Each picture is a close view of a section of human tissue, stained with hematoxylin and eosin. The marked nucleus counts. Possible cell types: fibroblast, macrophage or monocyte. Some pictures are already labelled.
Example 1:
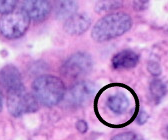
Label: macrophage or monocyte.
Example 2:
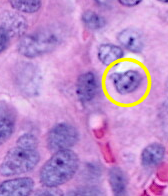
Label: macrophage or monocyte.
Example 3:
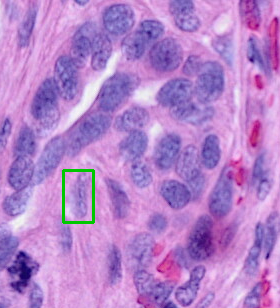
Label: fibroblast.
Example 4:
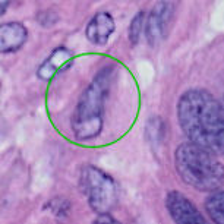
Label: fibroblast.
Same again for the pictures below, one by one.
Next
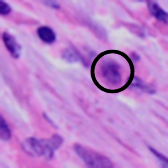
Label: macrophage or monocyte.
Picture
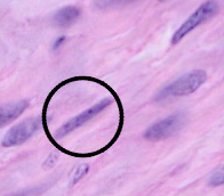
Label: fibroblast.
